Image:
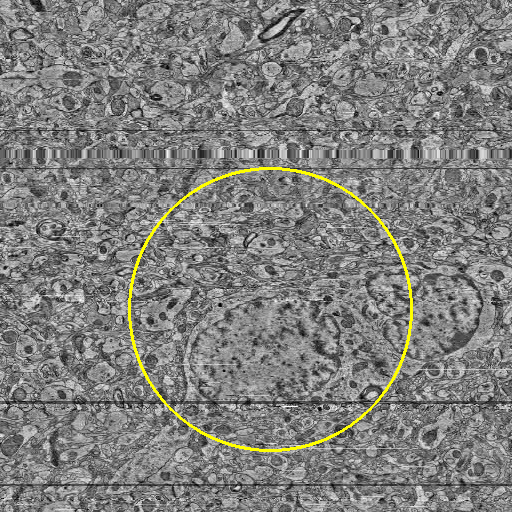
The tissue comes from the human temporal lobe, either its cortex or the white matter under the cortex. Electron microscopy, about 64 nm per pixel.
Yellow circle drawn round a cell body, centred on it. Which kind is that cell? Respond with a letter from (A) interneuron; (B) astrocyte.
A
